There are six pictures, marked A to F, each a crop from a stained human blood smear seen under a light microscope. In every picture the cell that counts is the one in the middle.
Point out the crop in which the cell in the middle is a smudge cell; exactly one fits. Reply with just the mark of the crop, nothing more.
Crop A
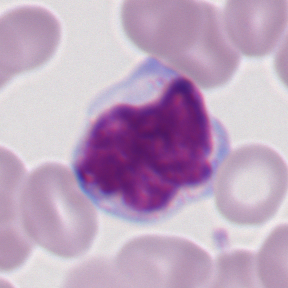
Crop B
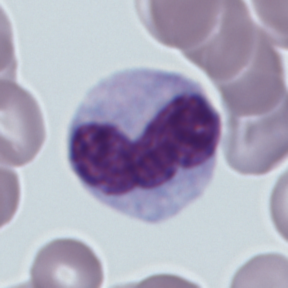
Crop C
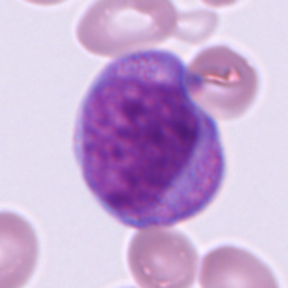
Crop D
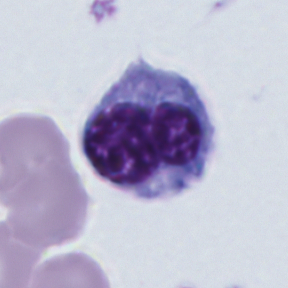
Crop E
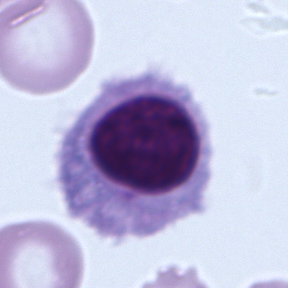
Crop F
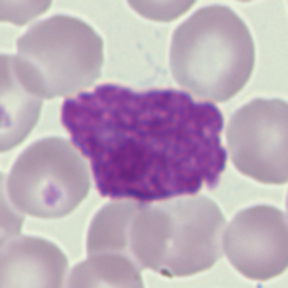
F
